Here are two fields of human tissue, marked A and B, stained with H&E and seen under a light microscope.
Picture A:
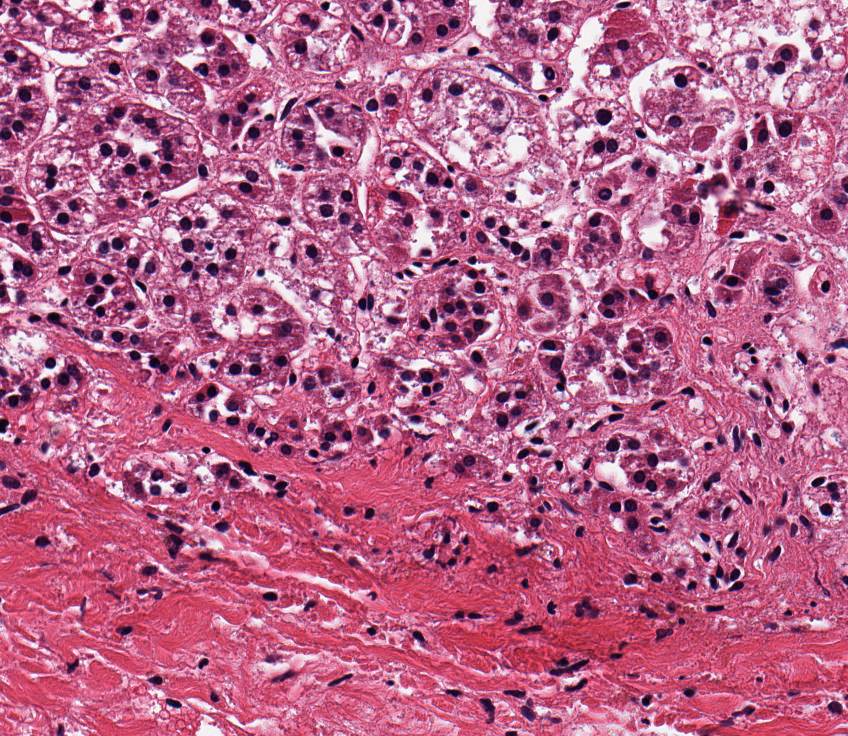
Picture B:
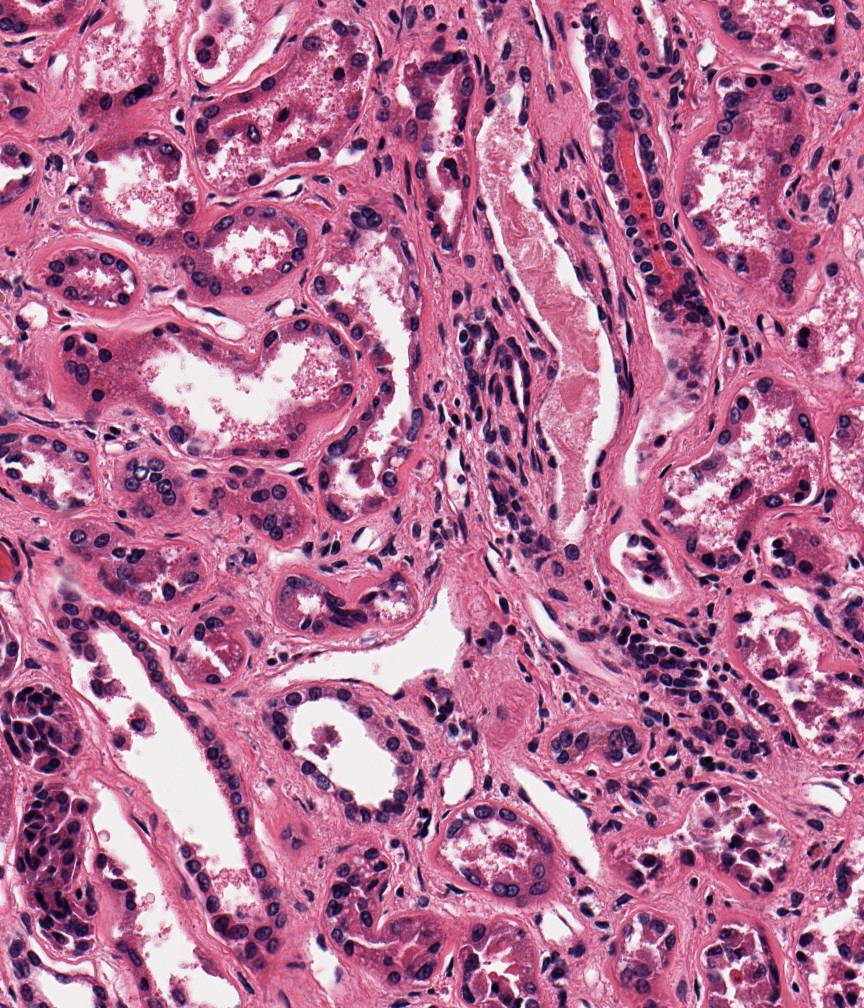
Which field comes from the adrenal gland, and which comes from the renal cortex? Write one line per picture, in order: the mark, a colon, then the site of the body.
A: adrenal gland
B: renal cortex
